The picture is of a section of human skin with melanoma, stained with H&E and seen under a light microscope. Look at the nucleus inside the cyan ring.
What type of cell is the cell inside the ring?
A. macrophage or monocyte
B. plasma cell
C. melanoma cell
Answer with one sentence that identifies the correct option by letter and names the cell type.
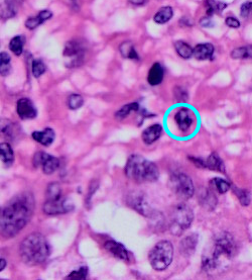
In agreement with option B, the cell inside the ring is a plasma cell.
